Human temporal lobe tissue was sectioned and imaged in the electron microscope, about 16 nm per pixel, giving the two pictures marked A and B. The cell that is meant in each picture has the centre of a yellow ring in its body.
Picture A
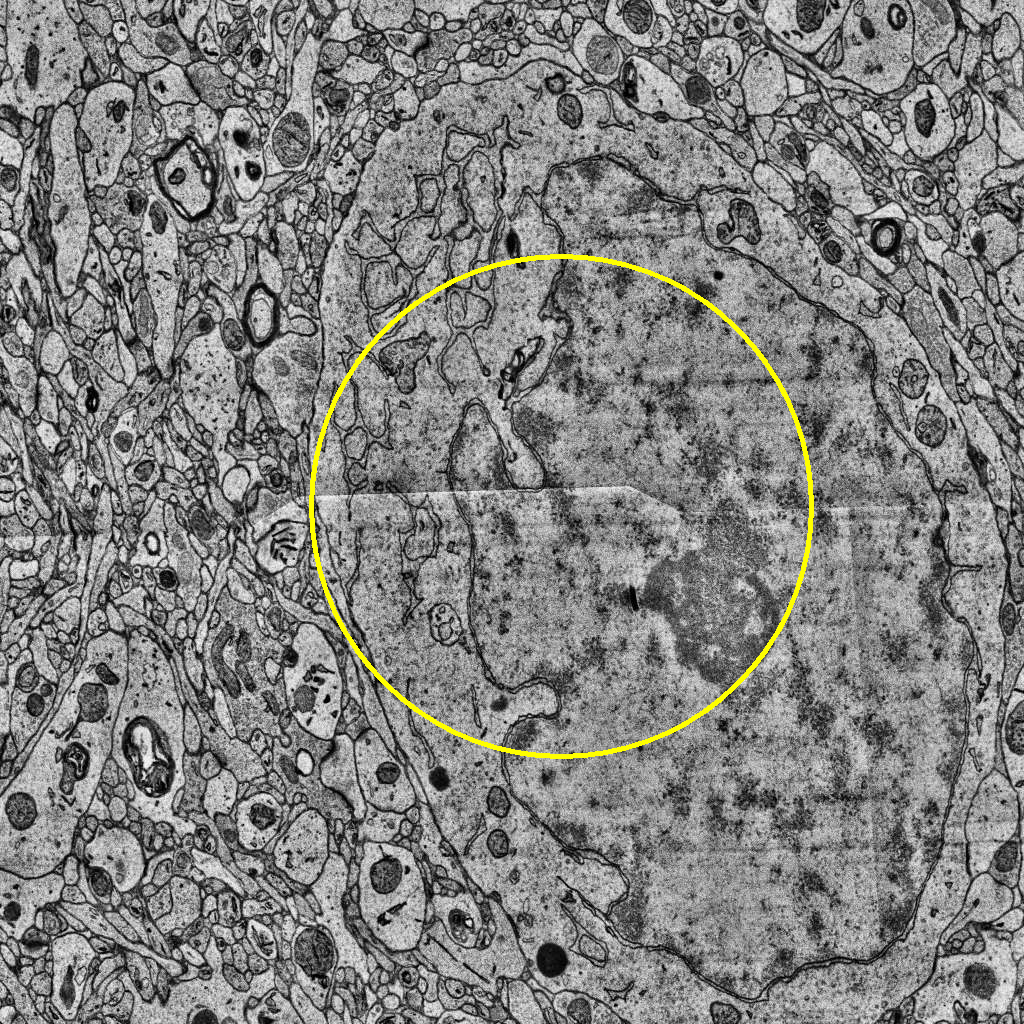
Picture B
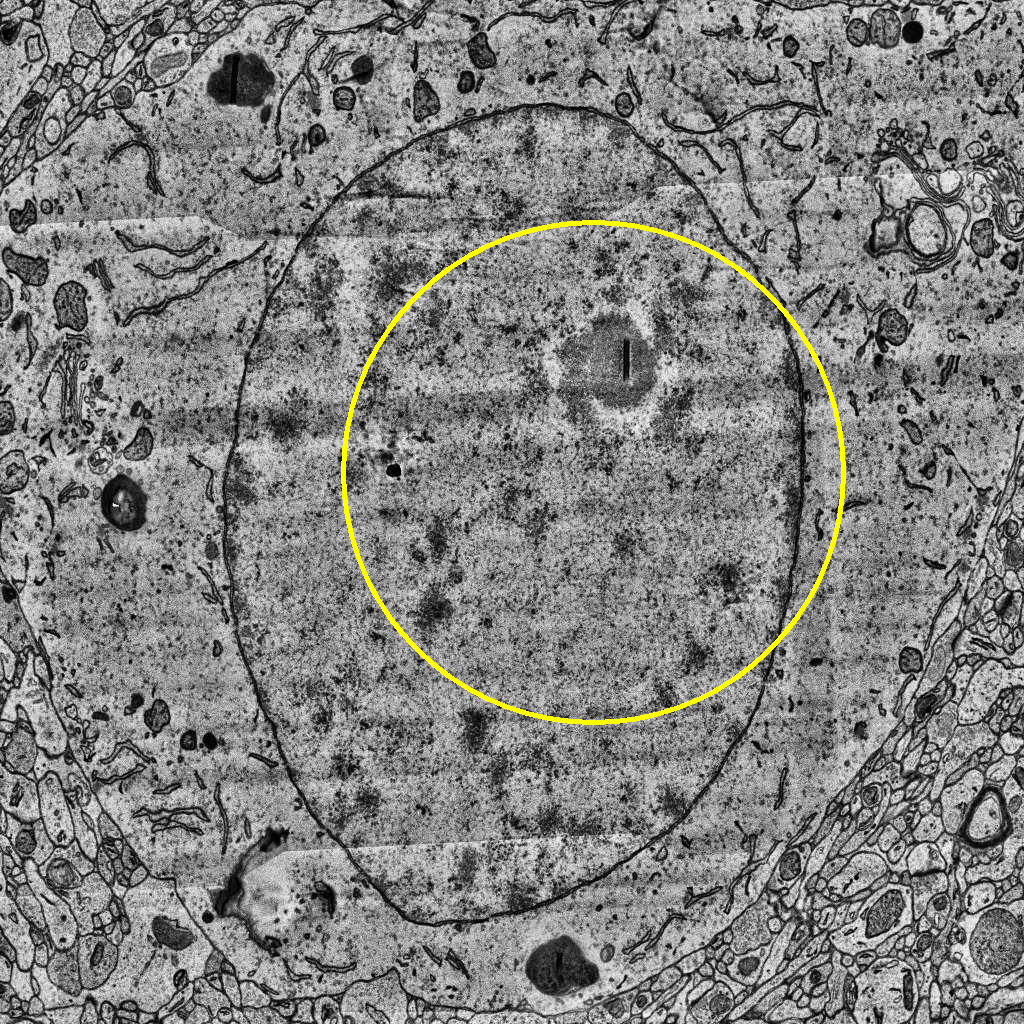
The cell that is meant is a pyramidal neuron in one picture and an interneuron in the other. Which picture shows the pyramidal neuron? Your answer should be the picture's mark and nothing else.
B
